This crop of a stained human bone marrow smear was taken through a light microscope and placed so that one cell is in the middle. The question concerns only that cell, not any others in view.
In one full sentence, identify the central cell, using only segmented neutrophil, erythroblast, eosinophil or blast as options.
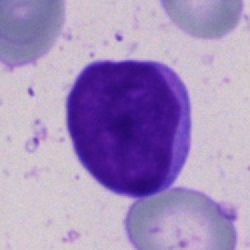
At the crop's centre, the cell is a blast.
